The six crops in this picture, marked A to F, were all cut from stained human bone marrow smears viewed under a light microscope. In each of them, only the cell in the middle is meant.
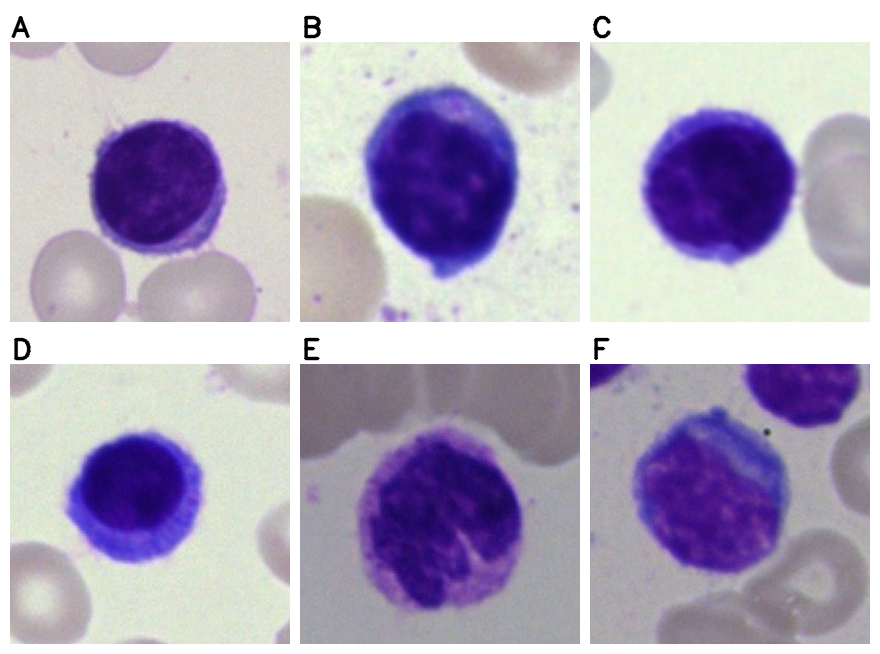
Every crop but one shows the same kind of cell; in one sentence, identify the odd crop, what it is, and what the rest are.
Shown in crop E is a basophil, in contrast to the lymphocytes of all the other crops.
